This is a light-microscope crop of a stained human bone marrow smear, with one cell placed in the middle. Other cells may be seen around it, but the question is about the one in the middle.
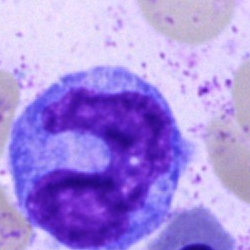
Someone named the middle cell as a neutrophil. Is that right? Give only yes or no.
no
